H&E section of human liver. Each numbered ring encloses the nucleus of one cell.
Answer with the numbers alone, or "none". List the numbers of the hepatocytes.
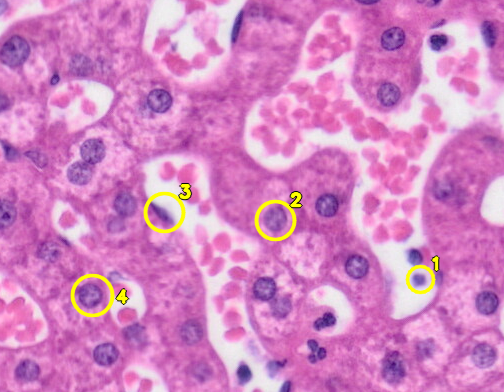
2, 4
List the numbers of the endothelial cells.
3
